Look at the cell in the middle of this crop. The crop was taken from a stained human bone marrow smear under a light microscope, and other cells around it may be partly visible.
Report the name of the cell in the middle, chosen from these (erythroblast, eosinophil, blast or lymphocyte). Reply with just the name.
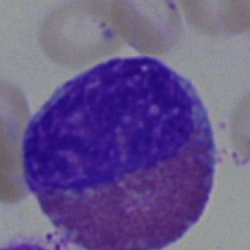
eosinophil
